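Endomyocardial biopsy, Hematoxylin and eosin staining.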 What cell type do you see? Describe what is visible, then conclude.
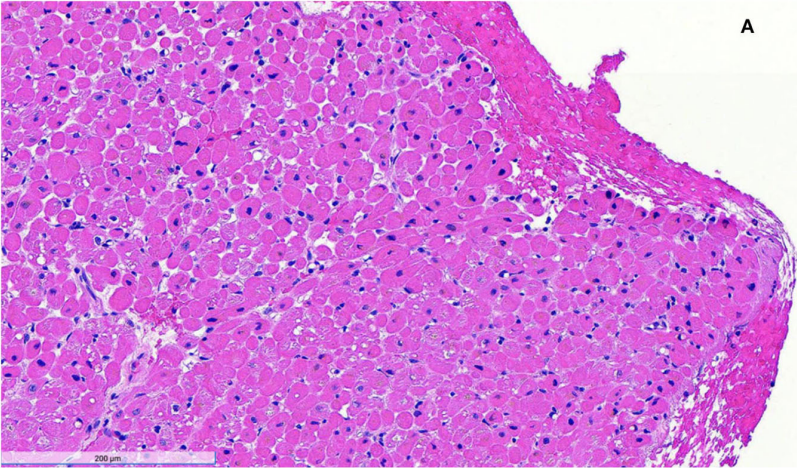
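Tightly packed, cross-cut pink fibres of rounded-polygonal outline. Single centrally placed nuclei in many fibres. Scant interstitium between fibres. On this evidence: myocyte.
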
